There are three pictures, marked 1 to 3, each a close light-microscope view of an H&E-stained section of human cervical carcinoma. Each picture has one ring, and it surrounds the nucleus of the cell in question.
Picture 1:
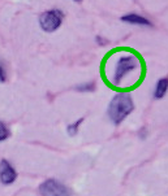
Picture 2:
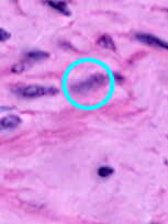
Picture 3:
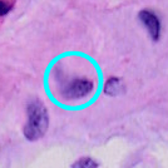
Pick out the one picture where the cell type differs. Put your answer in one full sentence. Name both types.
All pictures except 2 show fibroblasts; picture 2 shows a smooth muscle cell.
